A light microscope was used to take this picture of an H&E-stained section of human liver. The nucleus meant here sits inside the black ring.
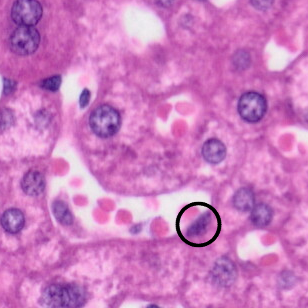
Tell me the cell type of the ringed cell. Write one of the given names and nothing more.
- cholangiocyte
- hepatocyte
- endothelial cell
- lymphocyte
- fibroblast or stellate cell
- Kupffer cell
endothelial cell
